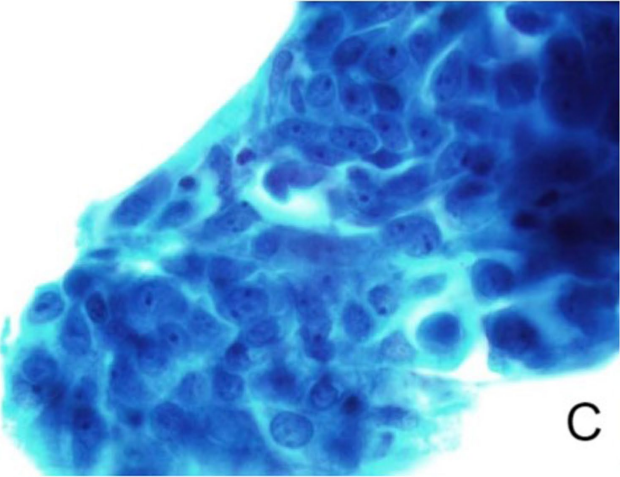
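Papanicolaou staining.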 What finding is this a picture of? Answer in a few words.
Crowded or overlapping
